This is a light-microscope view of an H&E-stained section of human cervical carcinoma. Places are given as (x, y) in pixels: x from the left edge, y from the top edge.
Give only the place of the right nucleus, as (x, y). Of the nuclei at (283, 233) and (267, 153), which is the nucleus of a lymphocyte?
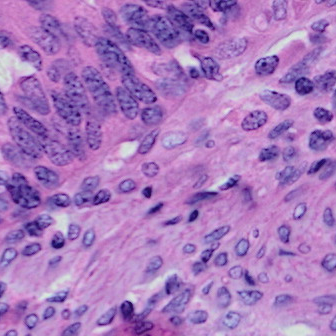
(267, 153)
